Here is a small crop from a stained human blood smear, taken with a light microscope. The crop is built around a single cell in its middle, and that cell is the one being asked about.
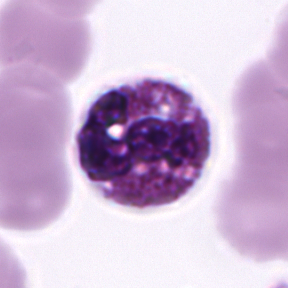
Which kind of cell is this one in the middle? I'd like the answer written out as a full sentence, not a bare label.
This crop's central cell is an eosinophil.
